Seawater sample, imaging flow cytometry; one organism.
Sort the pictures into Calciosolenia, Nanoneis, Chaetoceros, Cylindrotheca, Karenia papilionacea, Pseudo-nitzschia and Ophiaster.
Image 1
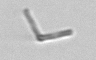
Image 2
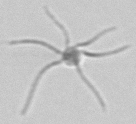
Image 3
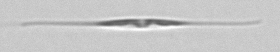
Nanoneis: 1
Ophiaster: 2
Cylindrotheca: 3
